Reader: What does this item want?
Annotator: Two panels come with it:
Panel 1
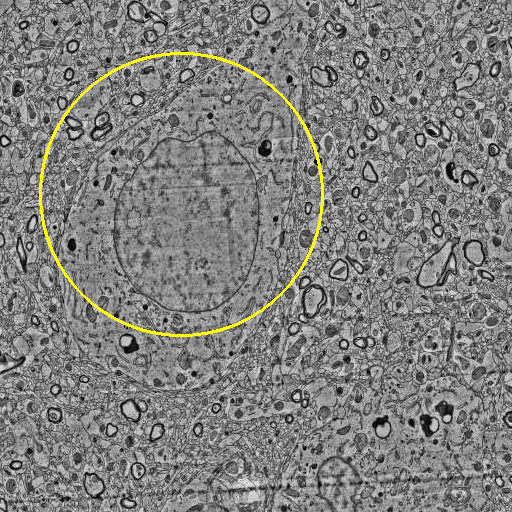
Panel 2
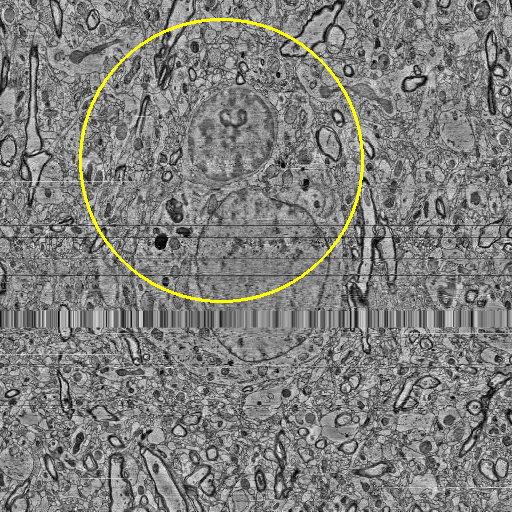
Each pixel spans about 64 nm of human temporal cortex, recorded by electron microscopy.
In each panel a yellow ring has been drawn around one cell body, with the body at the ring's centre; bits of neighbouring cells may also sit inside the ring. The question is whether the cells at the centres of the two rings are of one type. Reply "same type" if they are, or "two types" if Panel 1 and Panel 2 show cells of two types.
two types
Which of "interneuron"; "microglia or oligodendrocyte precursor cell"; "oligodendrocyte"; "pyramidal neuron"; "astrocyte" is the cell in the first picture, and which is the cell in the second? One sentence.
The two differ: the first cell is a pyramidal neuron and the second is an oligodendrocyte.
